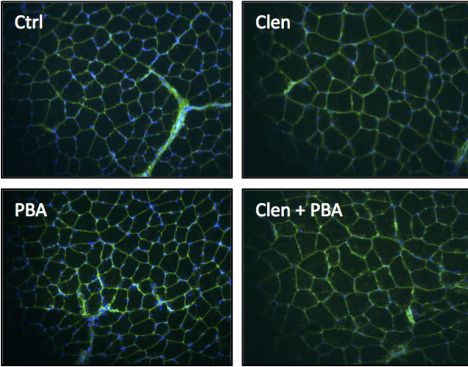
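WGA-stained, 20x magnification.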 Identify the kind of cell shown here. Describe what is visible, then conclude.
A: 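Closely packed polygonal profiles, each outlined by a thin green border. Small blue nuclei sit at the edges of the profiles, not in their centres. The profiles are of broadly similar size and fill the field without gaps.
Answer: muscle fibre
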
